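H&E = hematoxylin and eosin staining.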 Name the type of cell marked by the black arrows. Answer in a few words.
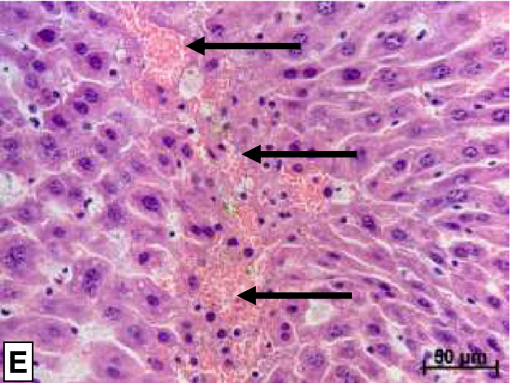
Erythrocytes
